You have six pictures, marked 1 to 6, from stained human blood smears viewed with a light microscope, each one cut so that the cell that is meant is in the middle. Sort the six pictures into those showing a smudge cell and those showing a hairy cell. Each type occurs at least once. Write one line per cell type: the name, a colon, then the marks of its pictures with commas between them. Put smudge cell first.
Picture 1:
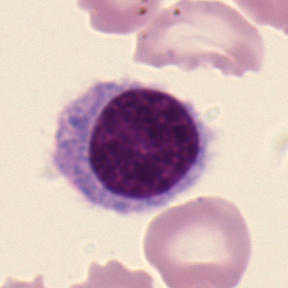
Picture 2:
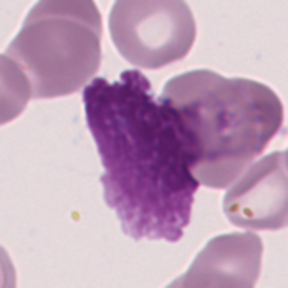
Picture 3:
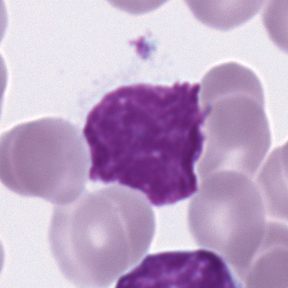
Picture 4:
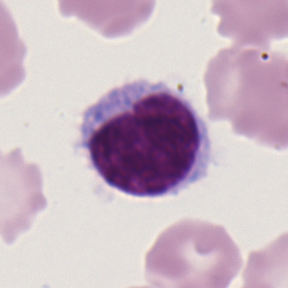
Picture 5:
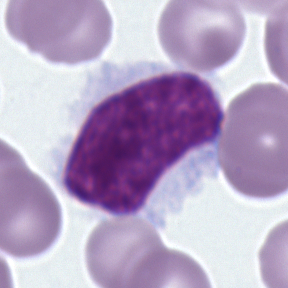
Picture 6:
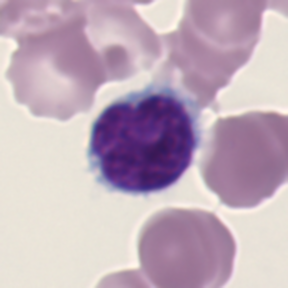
smudge cell: 2, 3
hairy cell: 1, 4, 5, 6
